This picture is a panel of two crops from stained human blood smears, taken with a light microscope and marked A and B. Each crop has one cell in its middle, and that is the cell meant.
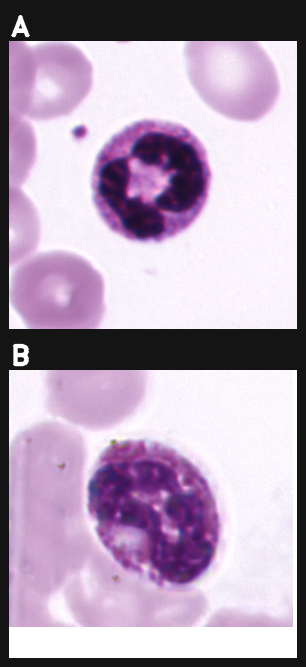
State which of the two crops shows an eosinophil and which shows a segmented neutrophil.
A: segmented neutrophil
B: eosinophil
